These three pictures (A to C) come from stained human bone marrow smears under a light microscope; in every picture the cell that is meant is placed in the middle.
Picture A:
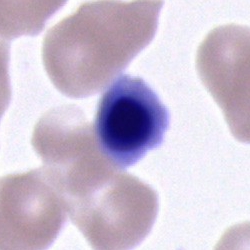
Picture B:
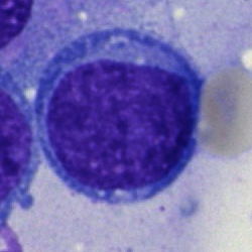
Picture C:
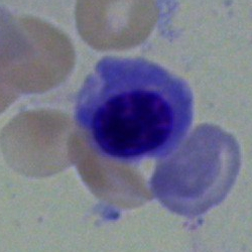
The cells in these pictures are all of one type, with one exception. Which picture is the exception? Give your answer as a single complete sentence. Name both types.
Picture B differs, because its cell is a blast and the rest are erythroblasts.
